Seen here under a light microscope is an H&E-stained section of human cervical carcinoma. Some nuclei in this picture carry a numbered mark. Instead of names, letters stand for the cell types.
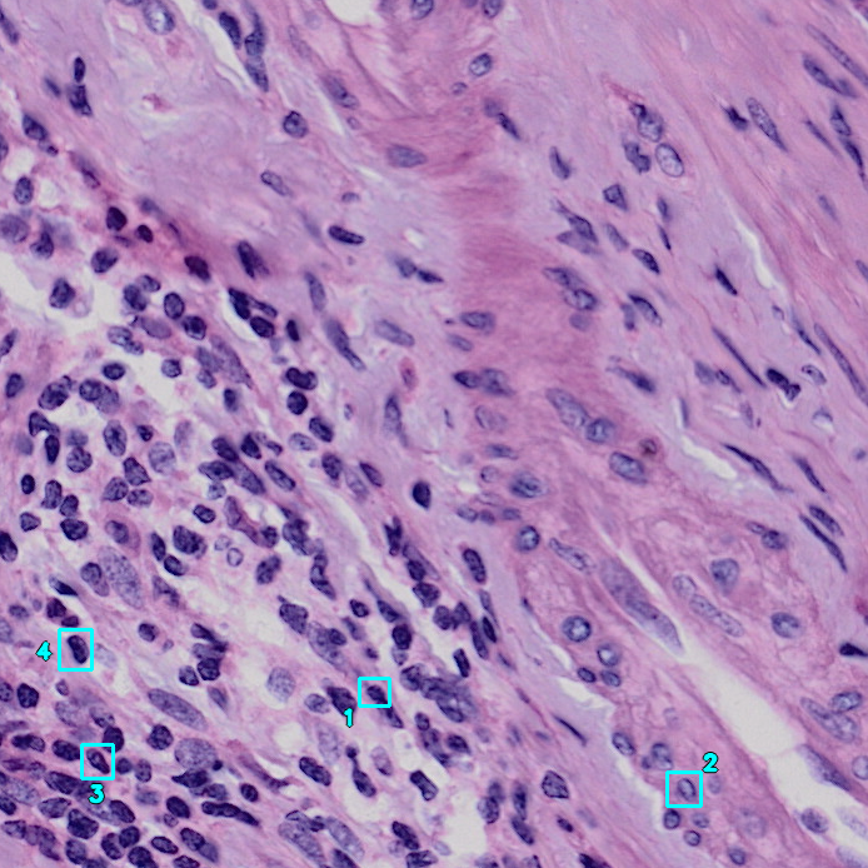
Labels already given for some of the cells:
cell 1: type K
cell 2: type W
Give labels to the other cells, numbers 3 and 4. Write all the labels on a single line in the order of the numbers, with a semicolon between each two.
type K; type K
